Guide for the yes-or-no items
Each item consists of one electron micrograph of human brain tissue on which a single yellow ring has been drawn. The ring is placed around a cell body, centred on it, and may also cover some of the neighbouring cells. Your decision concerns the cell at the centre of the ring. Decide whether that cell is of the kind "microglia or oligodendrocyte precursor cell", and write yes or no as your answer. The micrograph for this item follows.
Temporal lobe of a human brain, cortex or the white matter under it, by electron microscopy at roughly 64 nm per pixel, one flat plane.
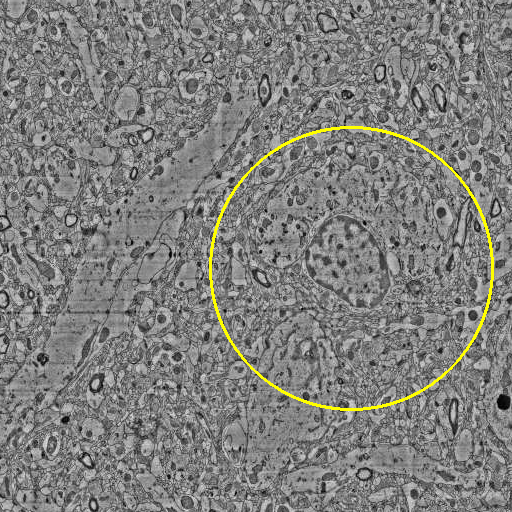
yes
